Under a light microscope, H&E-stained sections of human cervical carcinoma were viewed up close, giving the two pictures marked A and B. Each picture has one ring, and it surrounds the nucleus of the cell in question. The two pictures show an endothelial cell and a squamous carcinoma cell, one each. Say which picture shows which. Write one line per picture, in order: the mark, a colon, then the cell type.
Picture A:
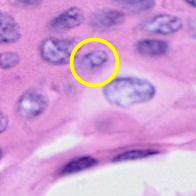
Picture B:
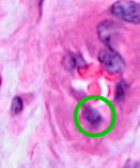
A: squamous carcinoma cell
B: endothelial cell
